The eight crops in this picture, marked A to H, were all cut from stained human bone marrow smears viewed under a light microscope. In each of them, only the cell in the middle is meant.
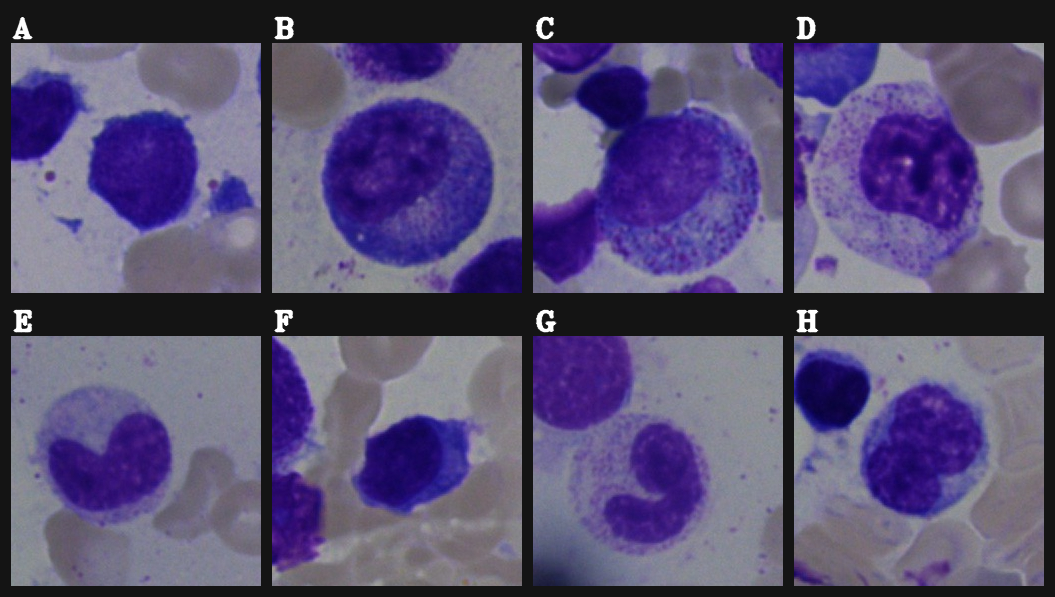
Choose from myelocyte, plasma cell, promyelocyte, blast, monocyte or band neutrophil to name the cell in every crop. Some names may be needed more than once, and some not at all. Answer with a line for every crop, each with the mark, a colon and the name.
A: blast
B: promyelocyte
C: promyelocyte
D: myelocyte
E: band neutrophil
F: plasma cell
G: band neutrophil
H: monocyte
